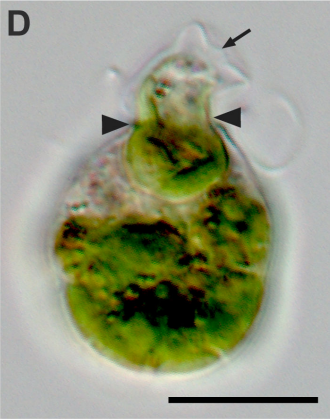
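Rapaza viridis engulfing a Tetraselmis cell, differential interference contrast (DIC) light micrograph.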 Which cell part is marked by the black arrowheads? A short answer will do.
Expanded cytostome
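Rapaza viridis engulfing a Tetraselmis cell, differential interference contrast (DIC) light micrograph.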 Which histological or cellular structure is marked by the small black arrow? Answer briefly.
Theca.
